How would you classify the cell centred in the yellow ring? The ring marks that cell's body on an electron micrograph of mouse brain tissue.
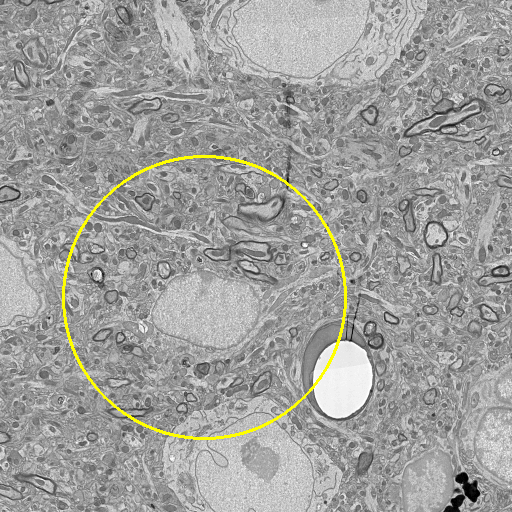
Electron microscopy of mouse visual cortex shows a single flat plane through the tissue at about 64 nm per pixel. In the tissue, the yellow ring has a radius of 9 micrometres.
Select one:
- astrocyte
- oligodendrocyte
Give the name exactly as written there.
astrocyte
